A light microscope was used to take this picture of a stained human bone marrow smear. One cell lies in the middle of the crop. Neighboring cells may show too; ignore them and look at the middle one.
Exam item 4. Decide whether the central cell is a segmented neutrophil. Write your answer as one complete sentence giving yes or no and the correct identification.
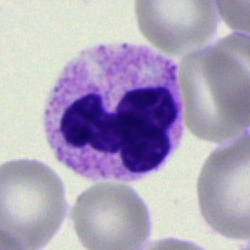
Yes, the cell of interest in the middle is a segmented neutrophil.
